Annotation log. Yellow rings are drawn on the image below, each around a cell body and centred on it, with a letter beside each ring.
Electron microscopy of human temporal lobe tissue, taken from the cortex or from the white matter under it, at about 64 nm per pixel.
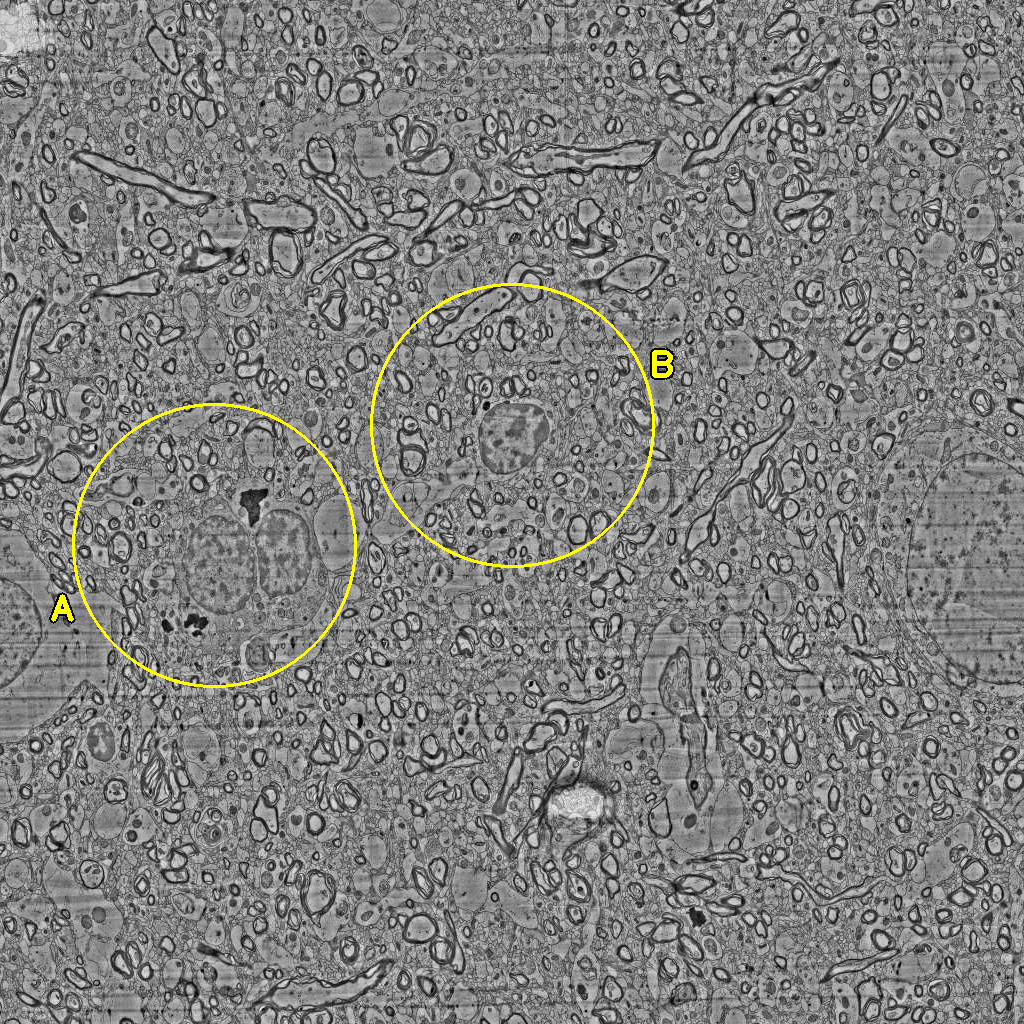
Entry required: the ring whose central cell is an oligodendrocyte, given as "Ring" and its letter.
Ring A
